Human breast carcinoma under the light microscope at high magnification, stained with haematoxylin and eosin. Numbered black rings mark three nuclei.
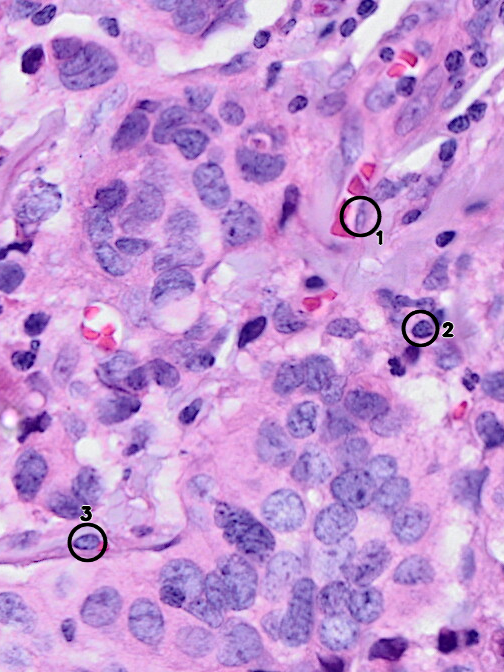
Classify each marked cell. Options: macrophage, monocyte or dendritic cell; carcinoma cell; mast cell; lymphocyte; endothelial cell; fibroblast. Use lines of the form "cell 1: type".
cell 1: endothelial cell
cell 2: lymphocyte
cell 3: endothelial cell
